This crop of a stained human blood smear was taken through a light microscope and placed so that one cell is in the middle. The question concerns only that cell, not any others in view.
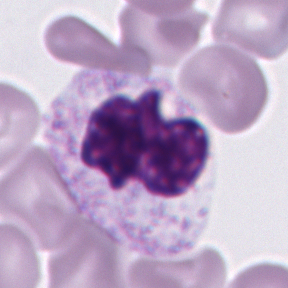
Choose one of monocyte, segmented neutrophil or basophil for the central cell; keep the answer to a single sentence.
The crop's centre is taken up by a segmented neutrophil.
